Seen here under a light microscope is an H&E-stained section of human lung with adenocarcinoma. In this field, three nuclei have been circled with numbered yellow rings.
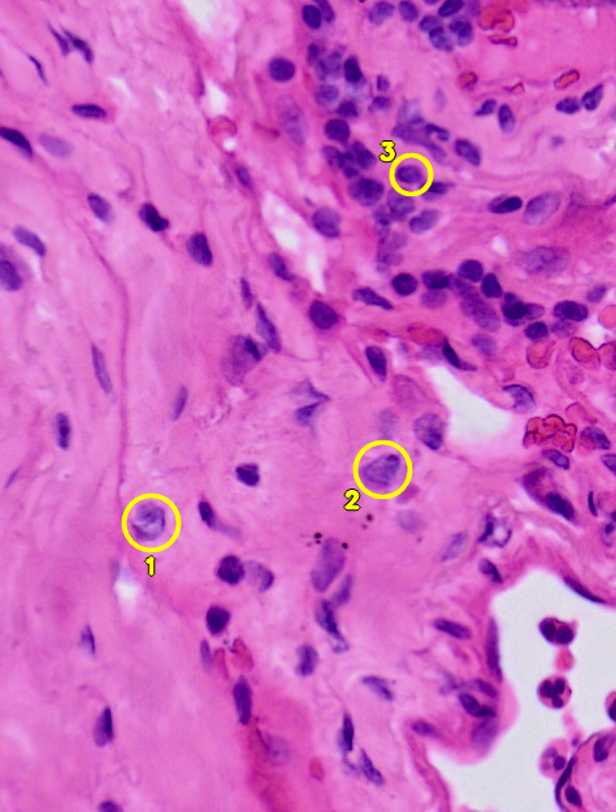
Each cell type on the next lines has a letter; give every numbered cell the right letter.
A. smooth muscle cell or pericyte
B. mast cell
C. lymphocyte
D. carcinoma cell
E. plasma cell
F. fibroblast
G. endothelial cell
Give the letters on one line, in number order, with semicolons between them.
F; F; C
